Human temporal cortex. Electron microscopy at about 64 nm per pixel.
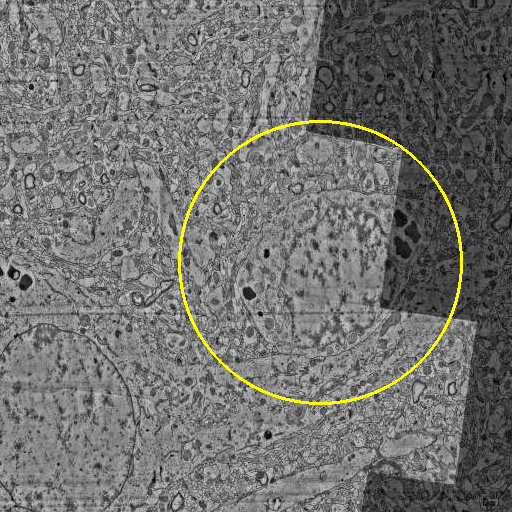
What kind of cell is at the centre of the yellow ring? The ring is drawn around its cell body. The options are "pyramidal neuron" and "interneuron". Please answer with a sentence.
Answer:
The yellow ring marks the cell body of an interneuron.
